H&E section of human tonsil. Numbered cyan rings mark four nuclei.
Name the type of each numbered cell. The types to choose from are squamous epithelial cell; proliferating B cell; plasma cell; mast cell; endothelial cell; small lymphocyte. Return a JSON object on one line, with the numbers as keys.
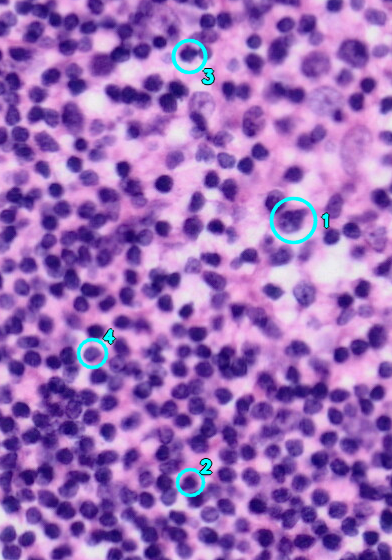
{"1": "proliferating B cell", "2": "small lymphocyte", "3": "small lymphocyte", "4": "small lymphocyte"}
